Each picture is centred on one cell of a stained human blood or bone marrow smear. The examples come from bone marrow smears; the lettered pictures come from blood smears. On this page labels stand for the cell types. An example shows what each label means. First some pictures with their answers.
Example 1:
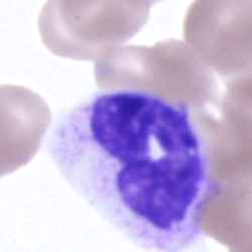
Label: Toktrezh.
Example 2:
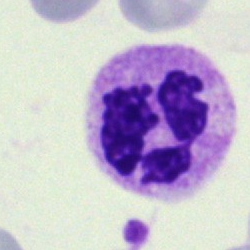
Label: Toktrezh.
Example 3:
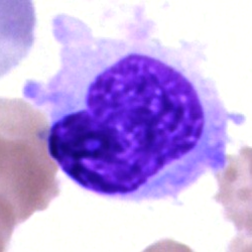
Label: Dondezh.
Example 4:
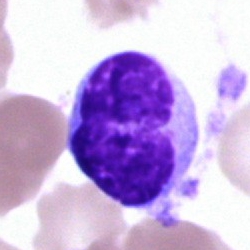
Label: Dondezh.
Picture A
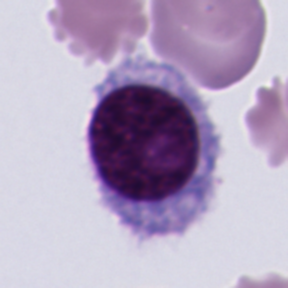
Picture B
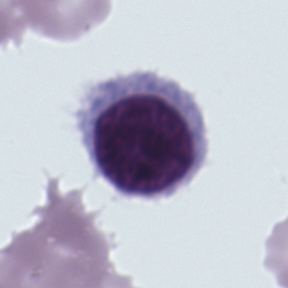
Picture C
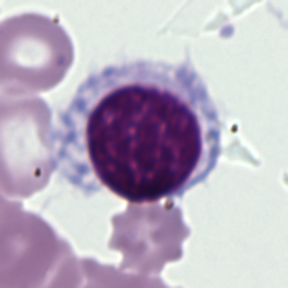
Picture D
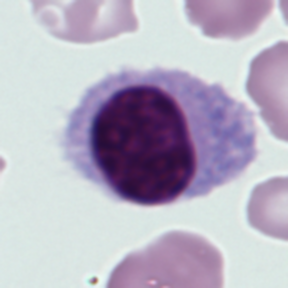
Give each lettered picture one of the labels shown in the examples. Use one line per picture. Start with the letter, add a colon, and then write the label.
A: Dondezh.
B: Dondezh.
C: Dondezh.
D: Dondezh.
